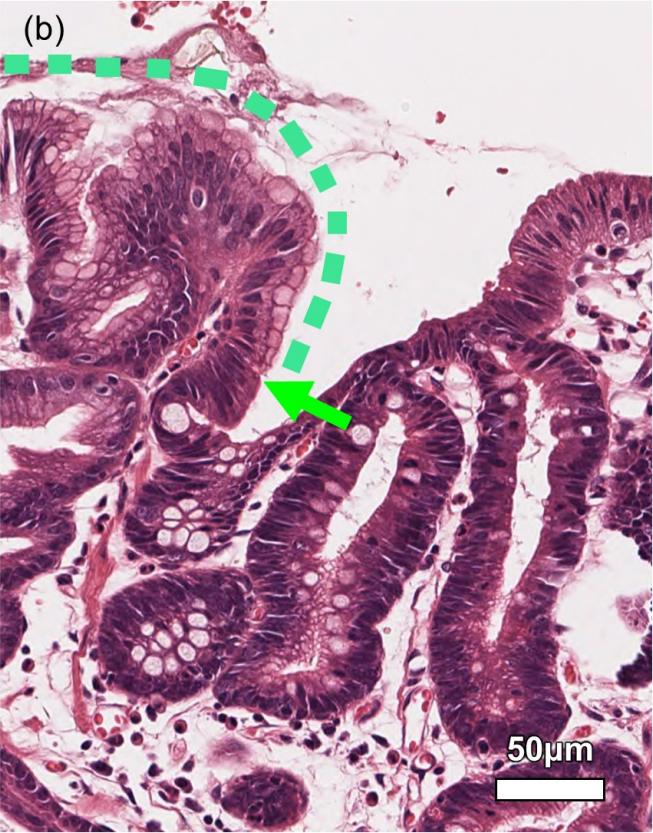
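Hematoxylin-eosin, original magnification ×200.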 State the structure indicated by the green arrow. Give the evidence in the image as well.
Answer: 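The arrow points where the surface epithelium meets a neighbouring epithelium. At that spot the cells change abruptly from one epithelium to the other.
Conclusion: clear front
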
